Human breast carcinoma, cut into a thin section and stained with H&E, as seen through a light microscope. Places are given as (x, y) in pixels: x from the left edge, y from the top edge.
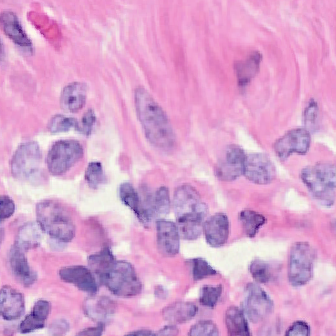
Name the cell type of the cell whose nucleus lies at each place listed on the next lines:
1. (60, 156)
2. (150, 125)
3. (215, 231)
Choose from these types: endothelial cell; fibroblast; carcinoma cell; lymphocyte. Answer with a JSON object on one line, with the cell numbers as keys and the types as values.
{"1": "carcinoma cell", "2": "fibroblast", "3": "carcinoma cell"}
